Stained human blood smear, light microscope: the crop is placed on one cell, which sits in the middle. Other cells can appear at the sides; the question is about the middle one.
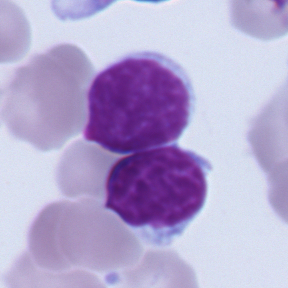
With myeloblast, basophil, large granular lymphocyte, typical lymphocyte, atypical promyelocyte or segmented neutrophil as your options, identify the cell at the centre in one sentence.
The central cell, amid any neighbouring cells, is a myeloblast.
